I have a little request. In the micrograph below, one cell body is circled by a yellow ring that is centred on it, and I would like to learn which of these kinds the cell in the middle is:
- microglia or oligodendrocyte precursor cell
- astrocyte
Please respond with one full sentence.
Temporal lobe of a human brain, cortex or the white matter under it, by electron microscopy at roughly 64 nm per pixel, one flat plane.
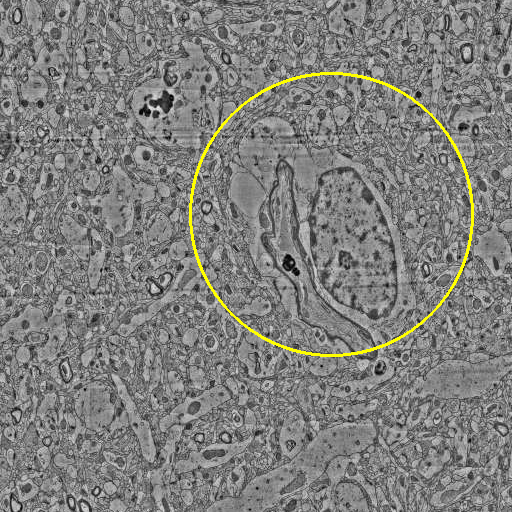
The cell sitting in the middle of the yellow ring in the micrograph is a microglial cell or oligodendrocyte precursor cell.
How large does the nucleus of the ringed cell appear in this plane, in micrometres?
About 10 by 5 micrometres; in this plane the nucleus is clearly longer than it is wide.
